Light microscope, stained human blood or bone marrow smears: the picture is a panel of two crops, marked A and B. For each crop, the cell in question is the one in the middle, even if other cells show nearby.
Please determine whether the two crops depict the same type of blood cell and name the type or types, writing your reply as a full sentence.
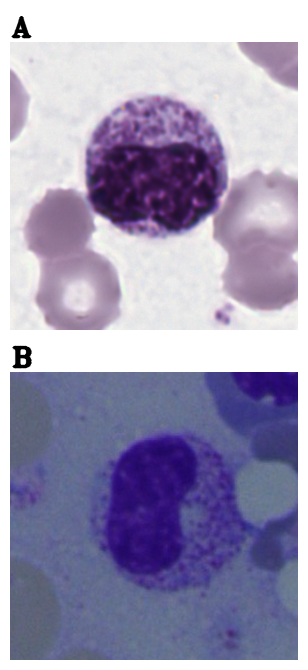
Yes, the cells centred in the two crops are both metamyelocytes.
